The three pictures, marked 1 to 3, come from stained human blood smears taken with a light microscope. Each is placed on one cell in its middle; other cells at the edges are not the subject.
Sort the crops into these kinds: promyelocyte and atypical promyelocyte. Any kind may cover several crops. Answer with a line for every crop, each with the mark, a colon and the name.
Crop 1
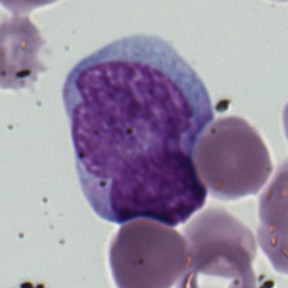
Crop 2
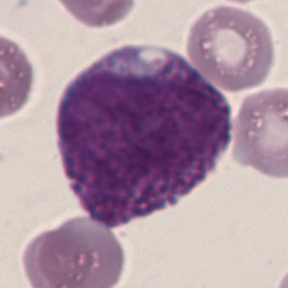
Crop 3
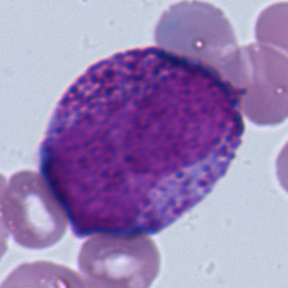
1: atypical promyelocyte
2: promyelocyte
3: promyelocyte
